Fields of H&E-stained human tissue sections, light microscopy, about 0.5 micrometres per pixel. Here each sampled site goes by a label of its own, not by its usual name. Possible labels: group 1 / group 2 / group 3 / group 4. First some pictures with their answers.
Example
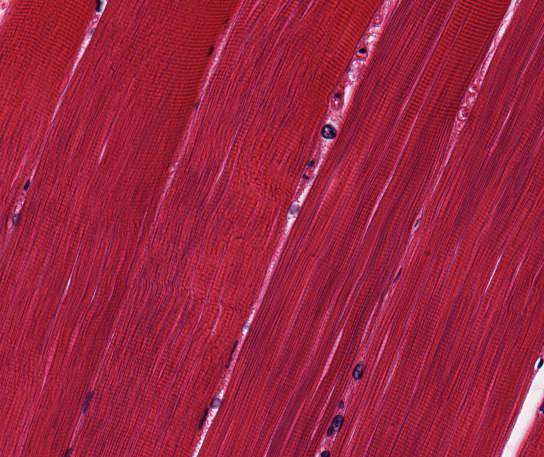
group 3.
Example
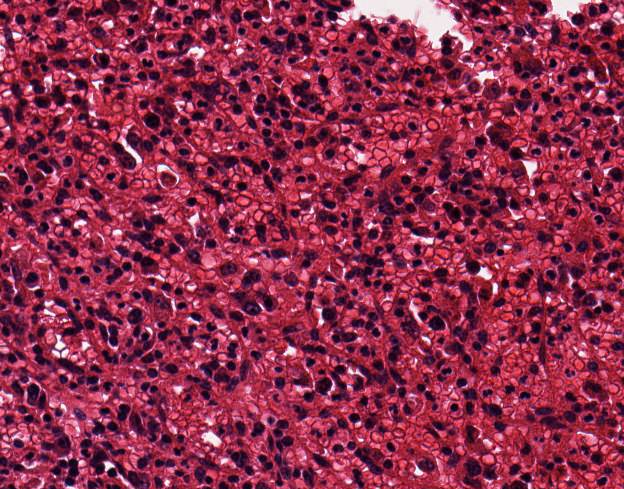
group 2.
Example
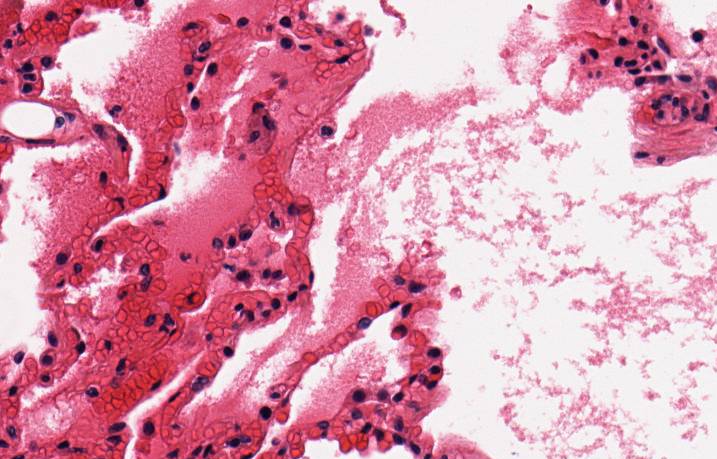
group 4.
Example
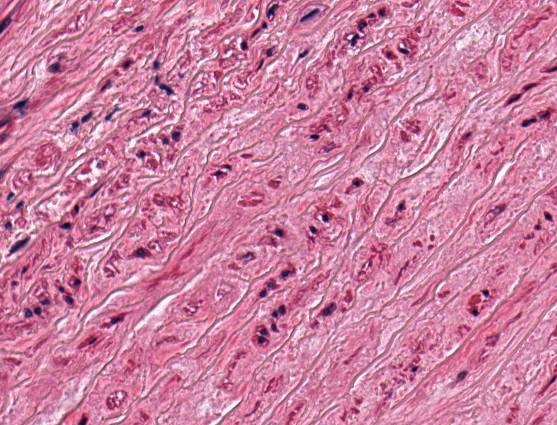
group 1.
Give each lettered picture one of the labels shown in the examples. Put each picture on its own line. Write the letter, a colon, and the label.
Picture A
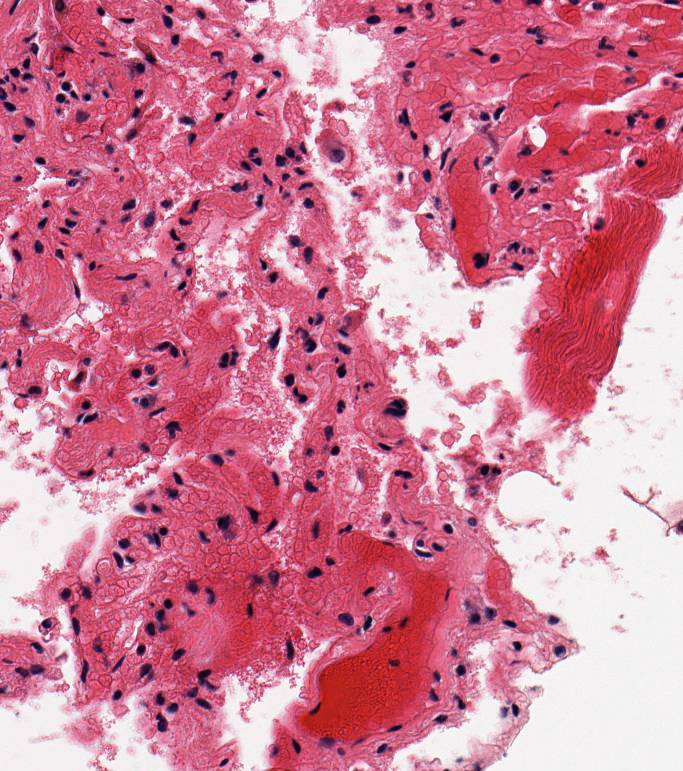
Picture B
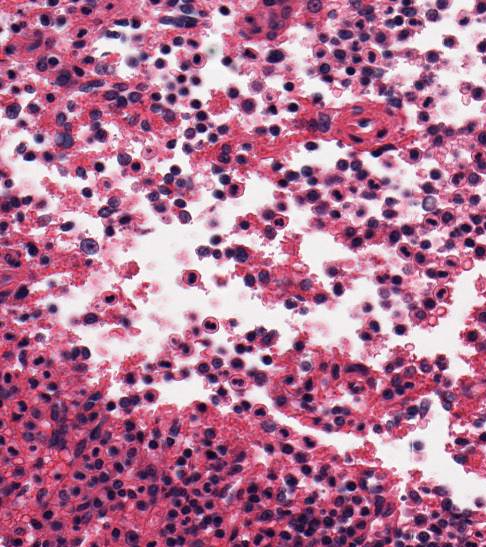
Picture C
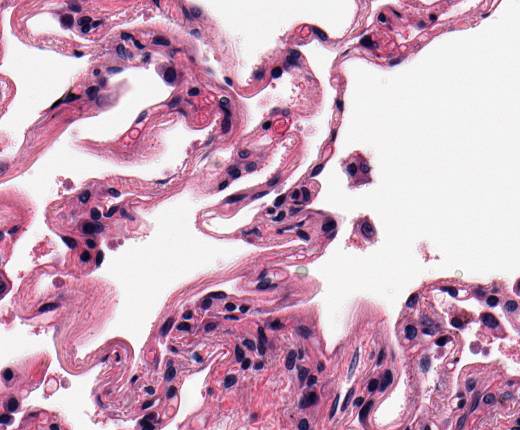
A: group 4.
B: group 2.
C: group 4.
